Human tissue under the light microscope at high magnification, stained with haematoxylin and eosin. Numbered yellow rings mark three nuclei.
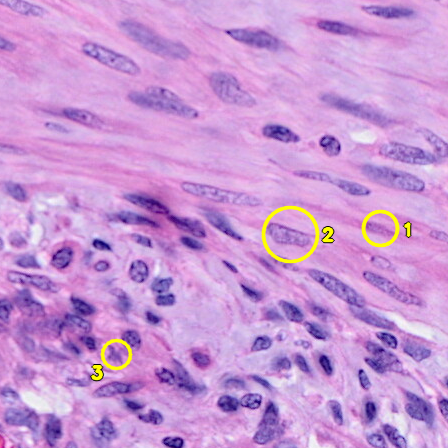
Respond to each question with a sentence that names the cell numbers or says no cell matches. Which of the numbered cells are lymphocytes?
There are no lymphocytes in the group of numbered cells.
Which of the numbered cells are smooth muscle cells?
The cells given the numbers 1 and 2 are smooth muscle cells.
